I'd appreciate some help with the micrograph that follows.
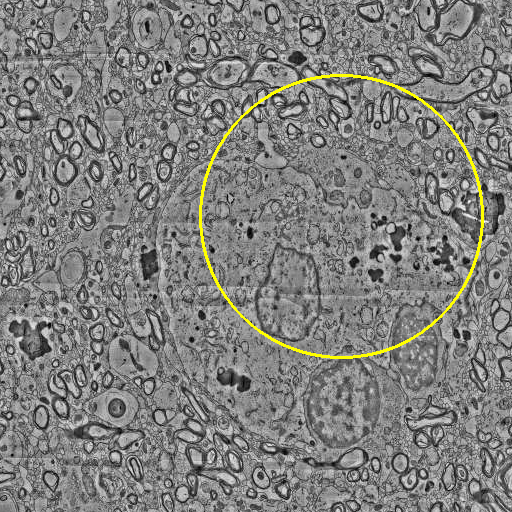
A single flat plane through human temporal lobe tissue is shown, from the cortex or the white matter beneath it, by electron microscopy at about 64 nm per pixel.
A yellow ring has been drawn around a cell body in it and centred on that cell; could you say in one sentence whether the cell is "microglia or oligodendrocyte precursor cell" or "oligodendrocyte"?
It is an oligodendrocyte at the centre of the ring.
